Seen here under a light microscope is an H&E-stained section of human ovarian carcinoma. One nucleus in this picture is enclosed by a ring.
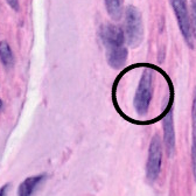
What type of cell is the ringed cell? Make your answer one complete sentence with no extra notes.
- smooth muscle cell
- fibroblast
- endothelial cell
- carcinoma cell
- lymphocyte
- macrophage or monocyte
As for its identity, the ringed cell is a smooth muscle cell.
